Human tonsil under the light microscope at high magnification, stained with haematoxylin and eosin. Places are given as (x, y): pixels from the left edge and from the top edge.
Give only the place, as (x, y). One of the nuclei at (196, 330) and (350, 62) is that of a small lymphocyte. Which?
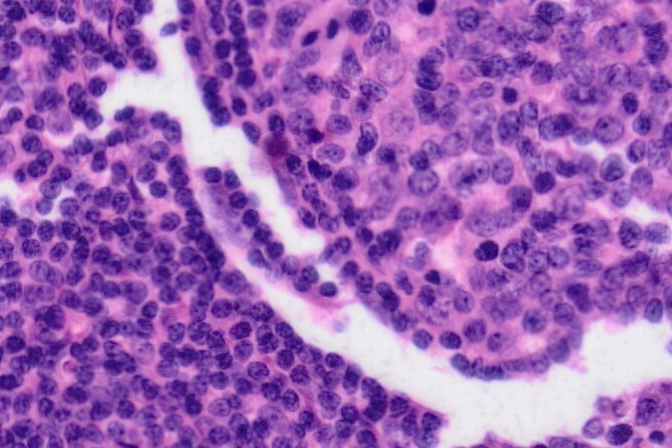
(196, 330)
